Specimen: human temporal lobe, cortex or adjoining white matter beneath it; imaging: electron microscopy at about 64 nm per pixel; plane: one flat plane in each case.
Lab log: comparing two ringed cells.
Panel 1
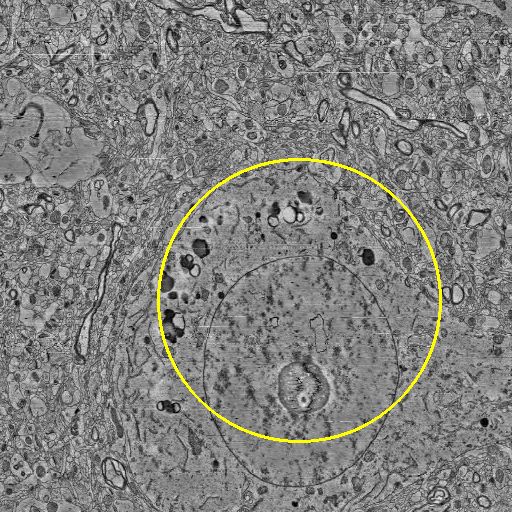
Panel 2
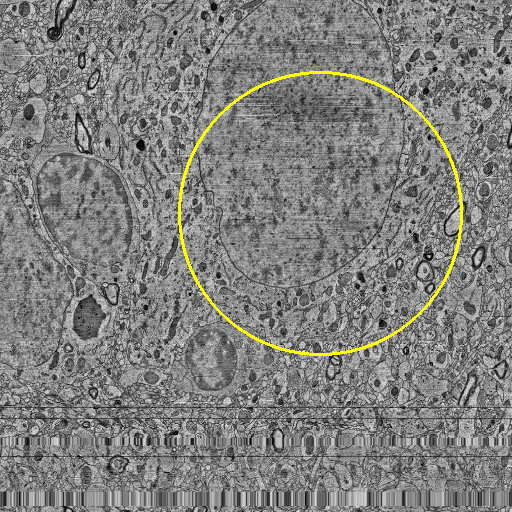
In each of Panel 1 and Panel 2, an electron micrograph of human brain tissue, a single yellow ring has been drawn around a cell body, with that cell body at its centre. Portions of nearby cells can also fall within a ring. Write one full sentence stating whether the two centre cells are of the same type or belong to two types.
The cells at the ring centres in Panel 1 and Panel 2 are of the same type.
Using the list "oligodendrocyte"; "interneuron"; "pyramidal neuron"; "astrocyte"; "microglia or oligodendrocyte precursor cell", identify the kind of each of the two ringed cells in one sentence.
The first and the second cell are each a pyramidal neuron.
